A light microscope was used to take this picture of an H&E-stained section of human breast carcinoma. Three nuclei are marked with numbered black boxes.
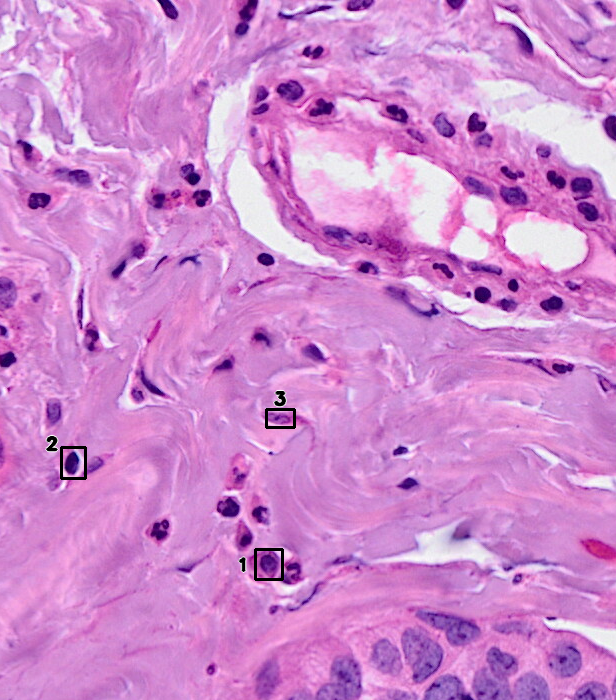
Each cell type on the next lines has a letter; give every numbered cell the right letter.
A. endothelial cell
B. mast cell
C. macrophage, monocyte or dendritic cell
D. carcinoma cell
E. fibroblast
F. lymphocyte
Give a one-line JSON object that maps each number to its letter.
{"1": "B", "2": "F", "3": "E"}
